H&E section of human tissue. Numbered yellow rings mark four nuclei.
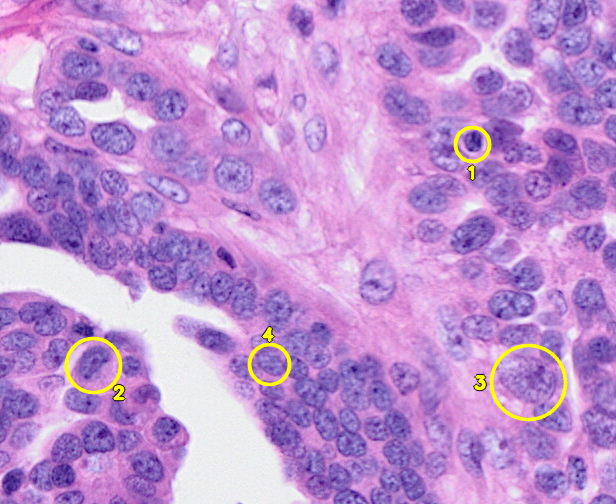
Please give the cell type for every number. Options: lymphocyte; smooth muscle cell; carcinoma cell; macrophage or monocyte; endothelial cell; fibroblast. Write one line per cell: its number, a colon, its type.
1: lymphocyte
2: carcinoma cell
3: carcinoma cell
4: carcinoma cell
